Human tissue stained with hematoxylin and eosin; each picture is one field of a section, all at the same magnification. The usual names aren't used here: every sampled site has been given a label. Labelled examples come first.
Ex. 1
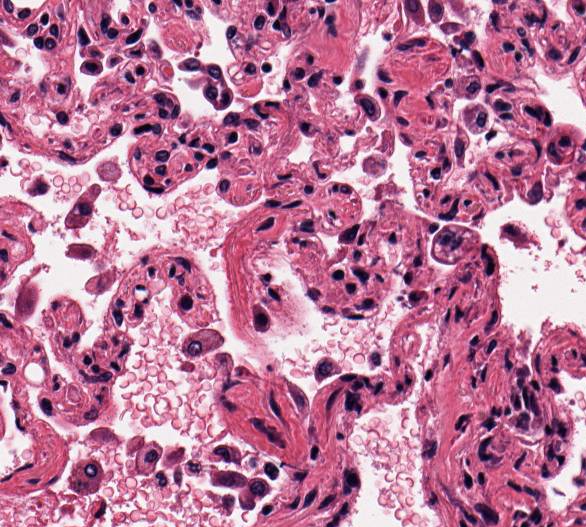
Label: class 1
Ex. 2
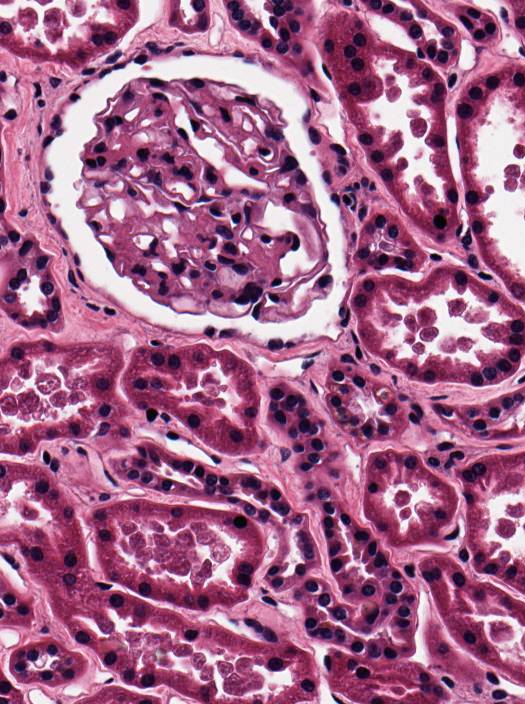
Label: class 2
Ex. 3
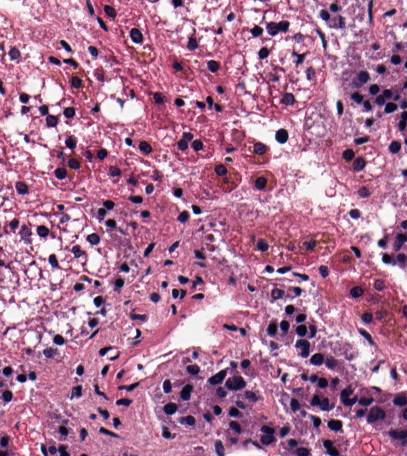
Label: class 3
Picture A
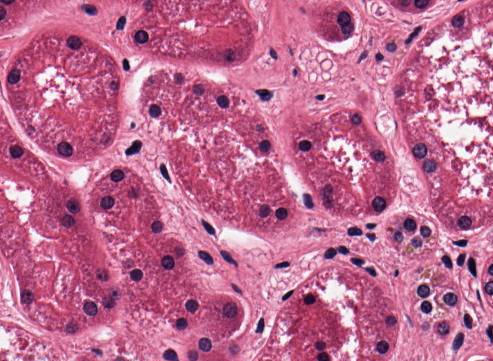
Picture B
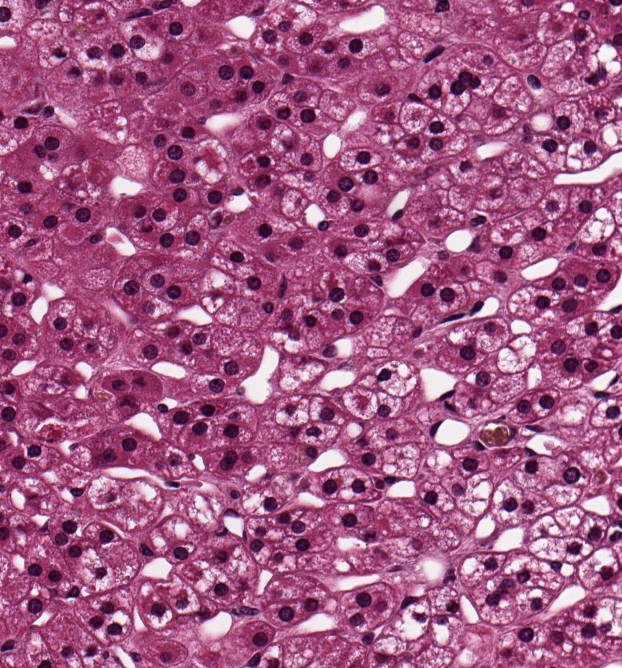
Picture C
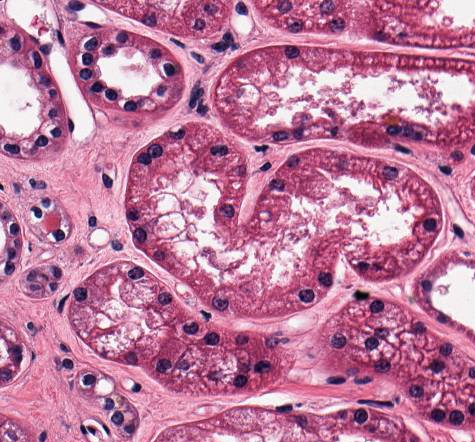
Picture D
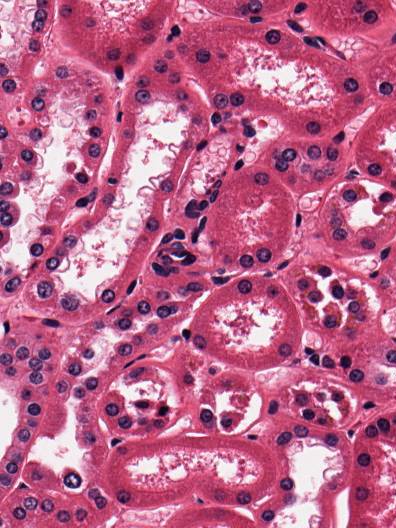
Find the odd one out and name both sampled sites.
B: class 3; all the others: class 2.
